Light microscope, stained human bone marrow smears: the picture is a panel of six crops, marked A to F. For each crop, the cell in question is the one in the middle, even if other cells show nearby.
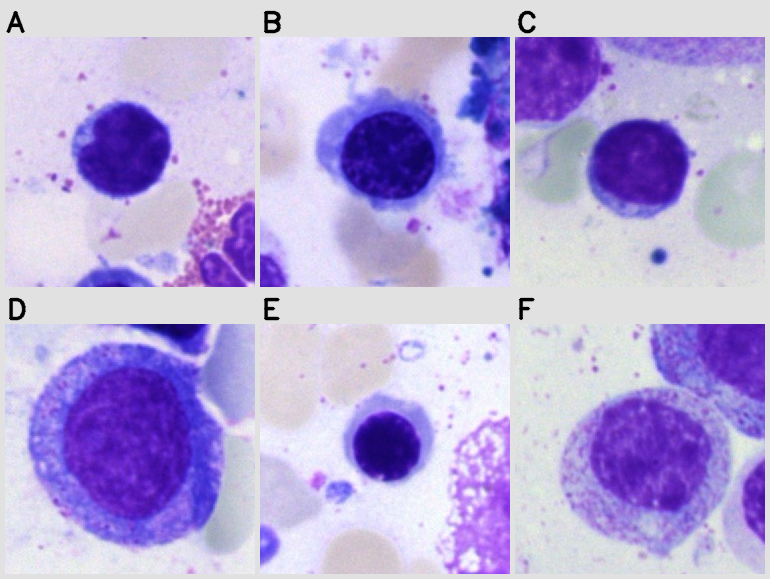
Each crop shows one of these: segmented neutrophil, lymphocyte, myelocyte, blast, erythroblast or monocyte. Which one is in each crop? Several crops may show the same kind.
A: lymphocyte
B: erythroblast
C: lymphocyte
D: blast
E: erythroblast
F: myelocyte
